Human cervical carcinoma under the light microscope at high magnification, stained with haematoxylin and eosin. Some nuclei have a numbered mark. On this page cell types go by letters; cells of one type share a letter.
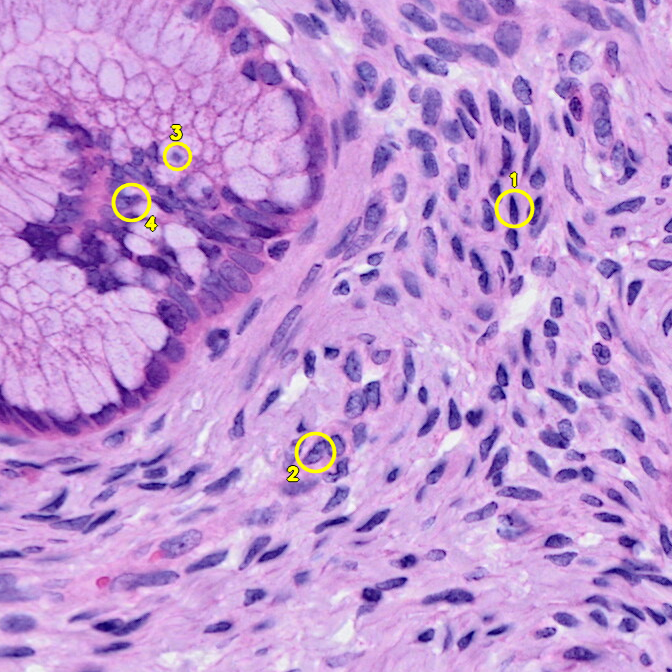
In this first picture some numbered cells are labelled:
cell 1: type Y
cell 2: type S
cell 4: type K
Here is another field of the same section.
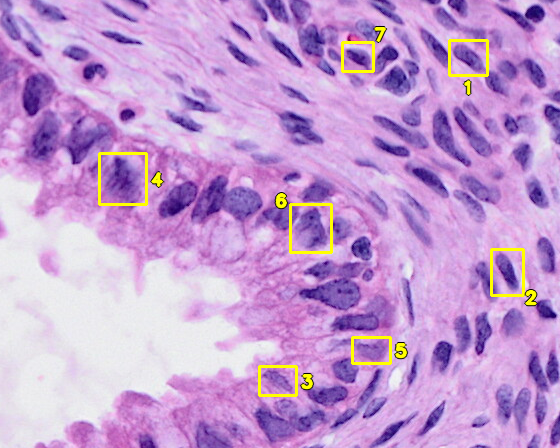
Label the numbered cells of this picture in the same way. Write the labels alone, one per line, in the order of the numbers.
type Y
type Y
type K
type K
type K
type K
type S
